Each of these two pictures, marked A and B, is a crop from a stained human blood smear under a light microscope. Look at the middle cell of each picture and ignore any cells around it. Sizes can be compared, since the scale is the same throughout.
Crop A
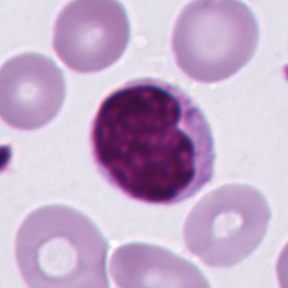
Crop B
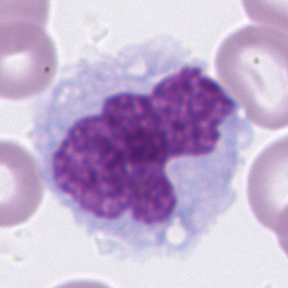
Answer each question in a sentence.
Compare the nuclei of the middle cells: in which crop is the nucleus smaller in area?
The nucleus in crop A is smaller; the one in crop B has about 2 times its area.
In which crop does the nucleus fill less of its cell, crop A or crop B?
Of the two, the nucleus in crop B leaves more room for cytoplasm.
